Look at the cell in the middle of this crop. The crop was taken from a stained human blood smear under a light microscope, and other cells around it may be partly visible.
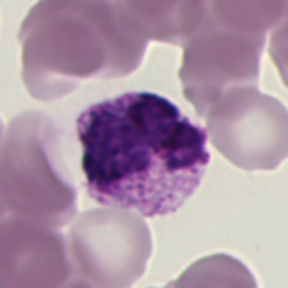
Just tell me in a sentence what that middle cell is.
The cell centred in this crop is categorized as a basophil.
